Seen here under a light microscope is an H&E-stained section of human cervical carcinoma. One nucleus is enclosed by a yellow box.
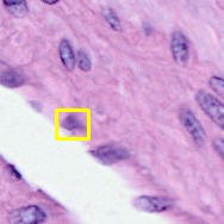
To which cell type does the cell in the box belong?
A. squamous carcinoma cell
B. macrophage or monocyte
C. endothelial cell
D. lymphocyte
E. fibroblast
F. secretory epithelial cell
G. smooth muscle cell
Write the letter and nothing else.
C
